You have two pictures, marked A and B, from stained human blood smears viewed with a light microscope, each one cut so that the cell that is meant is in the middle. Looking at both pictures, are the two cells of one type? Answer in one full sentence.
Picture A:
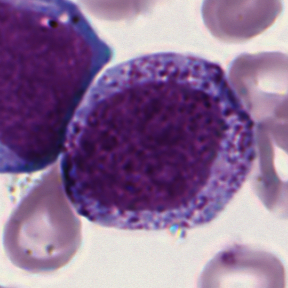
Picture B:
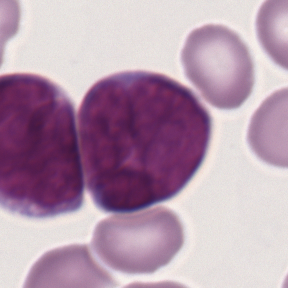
No, they differ: the cell is a promyelocyte in picture A and a myeloblast in picture B.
